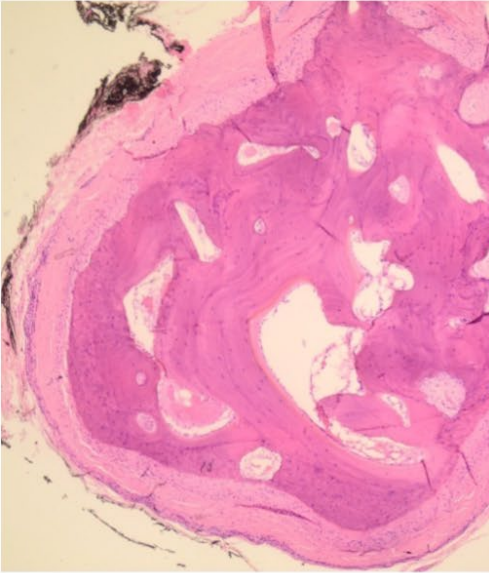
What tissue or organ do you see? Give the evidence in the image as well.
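A rounded mass of dense pink-purple lamellar matrix fills most of the panel. Irregular spaces and channels lie within the matrix. So: mature bone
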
